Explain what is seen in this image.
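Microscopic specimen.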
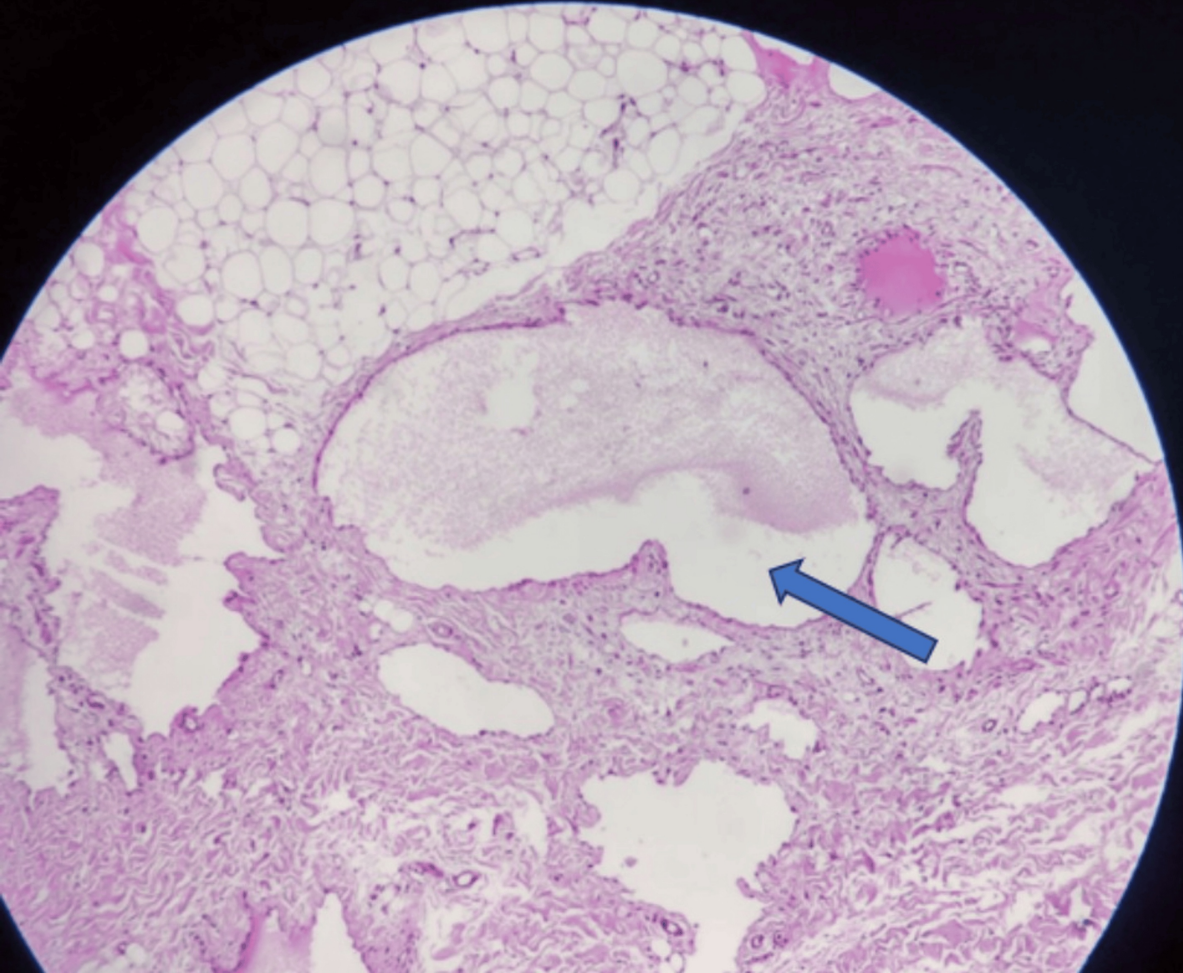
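Here the tissue holds many dilated, thin-walled lymphatic channels of irregular shape. Each channel is lined by a single layer of flattened cells. The largest channels are partly filled with pale pink, finely granular fluid. Between the channels lies wavy pink fibrous tissue with scattered small dark nuclei, and a field of fat cells with large empty-looking spaces sits at the upper left.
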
